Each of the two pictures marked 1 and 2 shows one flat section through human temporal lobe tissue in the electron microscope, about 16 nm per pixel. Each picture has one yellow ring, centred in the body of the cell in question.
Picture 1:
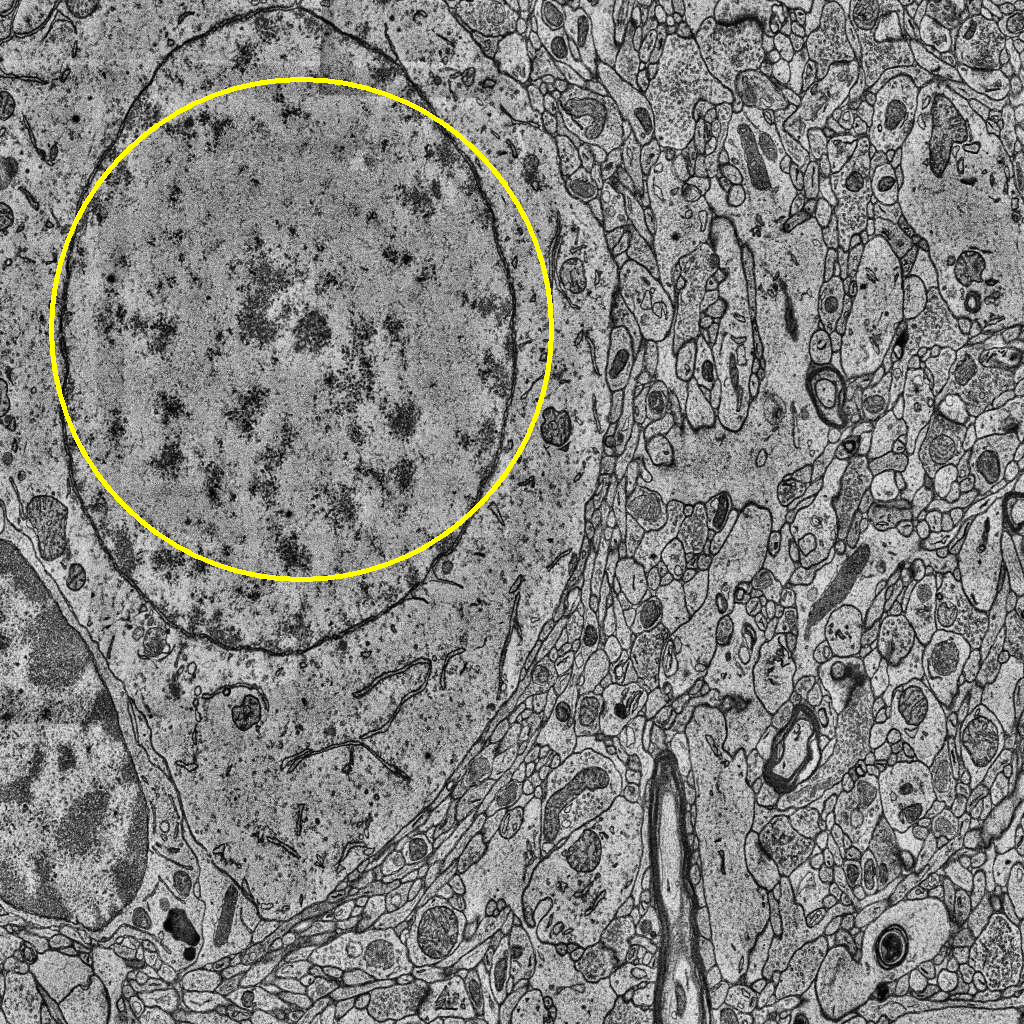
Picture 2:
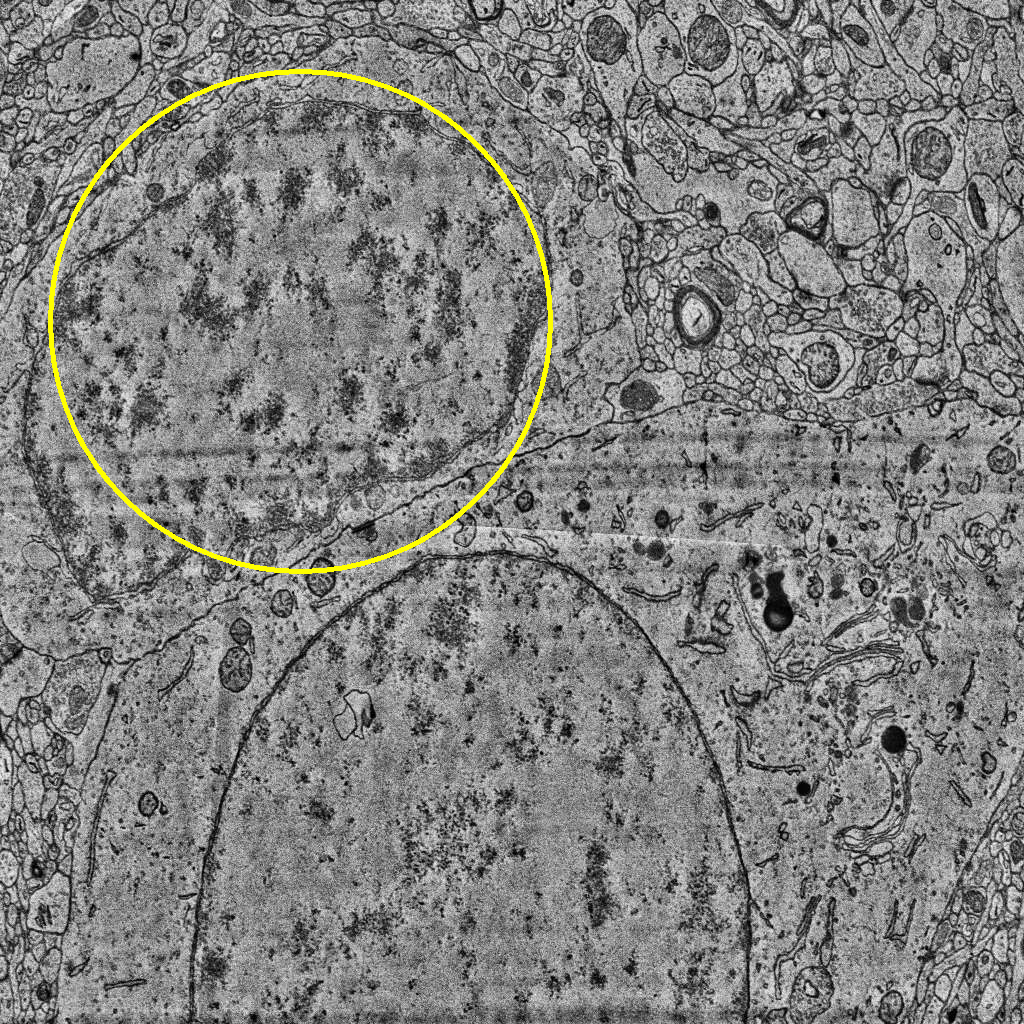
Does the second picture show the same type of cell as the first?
No, they differ: the cell is a pyramidal neuron in picture 1 and an interneuron in picture 2.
